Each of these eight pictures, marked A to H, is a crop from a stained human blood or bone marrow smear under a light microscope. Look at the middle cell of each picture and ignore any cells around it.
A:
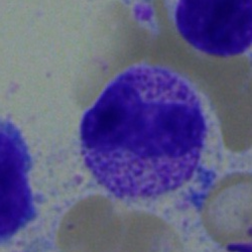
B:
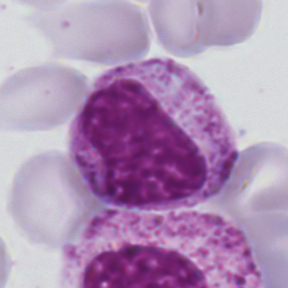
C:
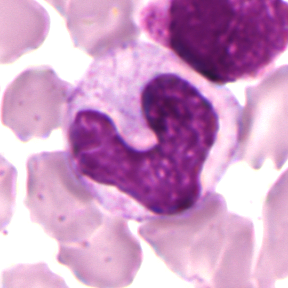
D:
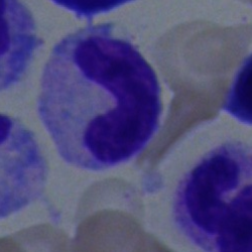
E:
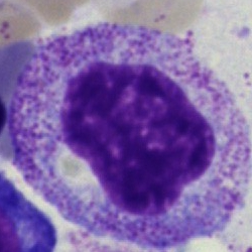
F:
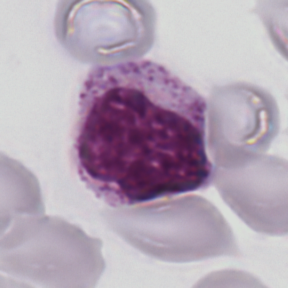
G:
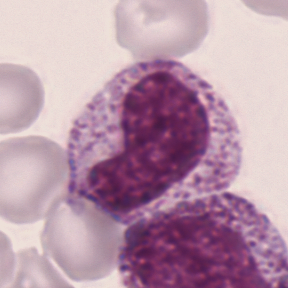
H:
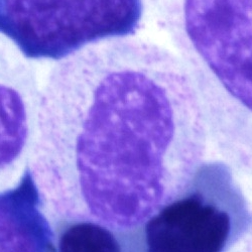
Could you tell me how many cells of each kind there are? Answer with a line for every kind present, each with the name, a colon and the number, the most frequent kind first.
band neutrophil: 4
metamyelocyte: 3
myelocyte: 1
